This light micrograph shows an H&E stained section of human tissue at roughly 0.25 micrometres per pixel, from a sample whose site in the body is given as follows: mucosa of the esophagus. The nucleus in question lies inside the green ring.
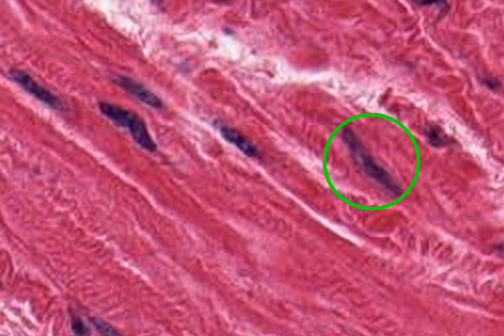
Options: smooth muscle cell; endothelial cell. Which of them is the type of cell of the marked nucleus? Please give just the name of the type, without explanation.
smooth muscle cell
